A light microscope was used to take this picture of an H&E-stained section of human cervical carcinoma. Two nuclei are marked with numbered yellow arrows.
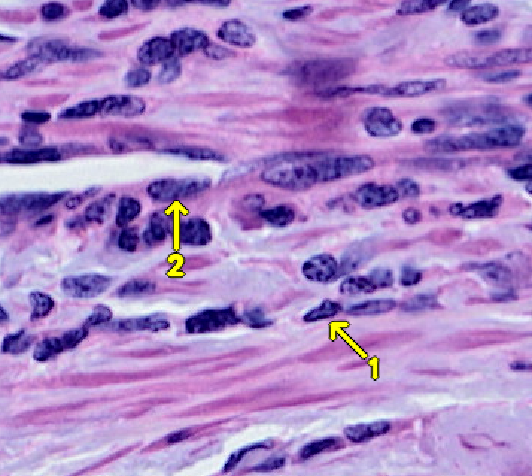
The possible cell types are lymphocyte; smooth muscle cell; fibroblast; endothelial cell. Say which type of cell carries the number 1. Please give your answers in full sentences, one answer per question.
In the tissue shown, cell 1 is a lymphocyte.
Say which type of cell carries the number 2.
The cell that bears the number 2 is an endothelial cell.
